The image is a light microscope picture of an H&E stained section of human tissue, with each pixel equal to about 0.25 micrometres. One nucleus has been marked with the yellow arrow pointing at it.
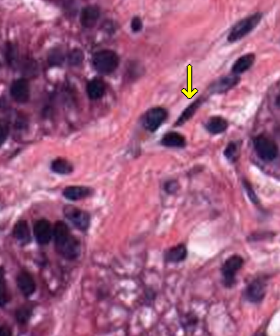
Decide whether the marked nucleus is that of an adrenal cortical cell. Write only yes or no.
no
